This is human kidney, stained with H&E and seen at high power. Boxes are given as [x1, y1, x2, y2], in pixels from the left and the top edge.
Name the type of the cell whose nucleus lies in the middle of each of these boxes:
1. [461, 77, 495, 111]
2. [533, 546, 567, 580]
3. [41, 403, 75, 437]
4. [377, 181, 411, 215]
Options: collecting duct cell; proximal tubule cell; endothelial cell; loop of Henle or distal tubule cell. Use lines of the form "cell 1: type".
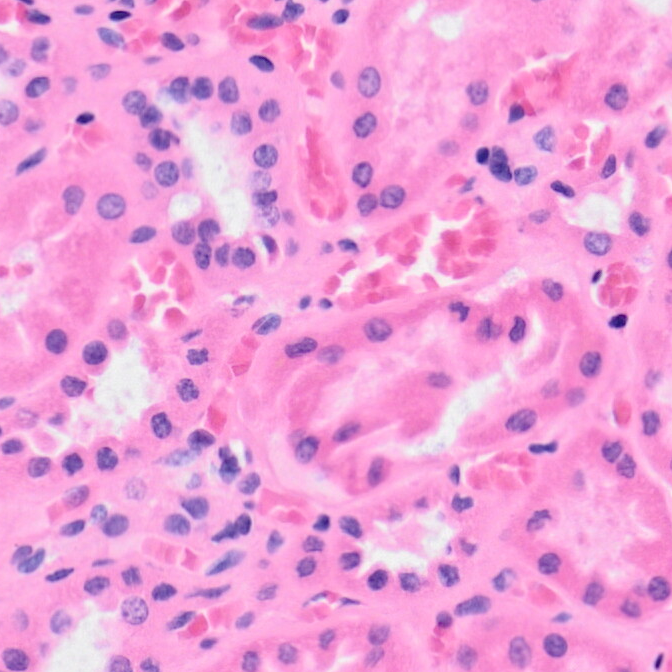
cell 1: proximal tubule cell
cell 2: proximal tubule cell
cell 3: loop of Henle or distal tubule cell
cell 4: proximal tubule cell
